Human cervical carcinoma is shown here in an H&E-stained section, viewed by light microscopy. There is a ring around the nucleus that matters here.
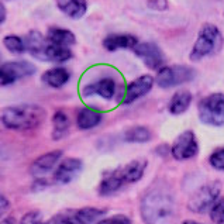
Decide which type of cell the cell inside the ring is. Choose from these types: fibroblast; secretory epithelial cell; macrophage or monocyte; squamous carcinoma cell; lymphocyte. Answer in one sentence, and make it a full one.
Placed in its cell category, the cell inside the ring is a lymphocyte.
